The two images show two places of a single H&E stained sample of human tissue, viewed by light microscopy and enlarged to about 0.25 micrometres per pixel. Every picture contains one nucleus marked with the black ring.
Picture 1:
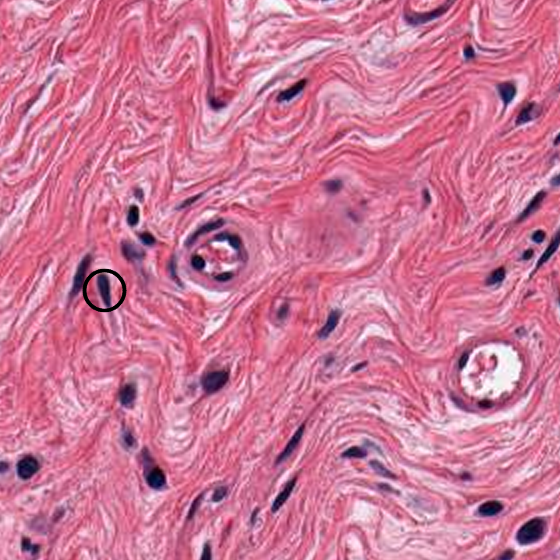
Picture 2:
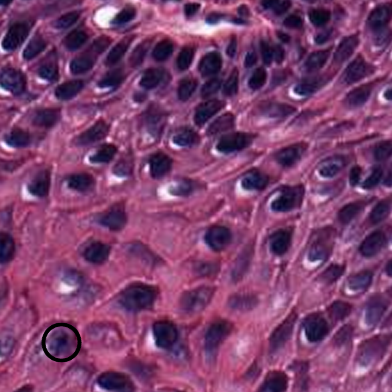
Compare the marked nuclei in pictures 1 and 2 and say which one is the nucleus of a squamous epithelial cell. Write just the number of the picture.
2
